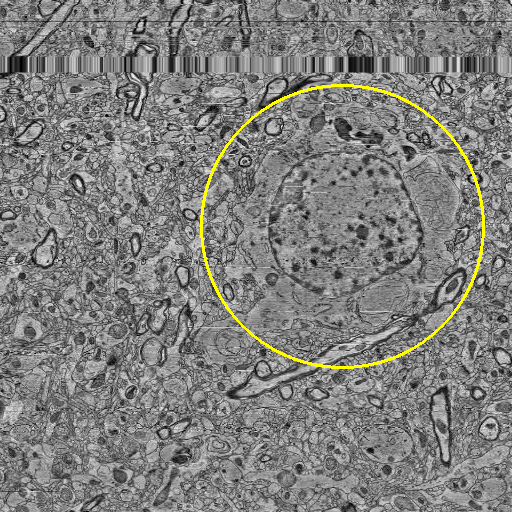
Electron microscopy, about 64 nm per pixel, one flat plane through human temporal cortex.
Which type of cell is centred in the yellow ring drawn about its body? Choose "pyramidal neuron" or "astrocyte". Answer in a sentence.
The yellow ring surrounds the cell body of an astrocyte.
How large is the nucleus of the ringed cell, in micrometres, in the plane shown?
About 10 micrometres by about 8 micrometres in this plane.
